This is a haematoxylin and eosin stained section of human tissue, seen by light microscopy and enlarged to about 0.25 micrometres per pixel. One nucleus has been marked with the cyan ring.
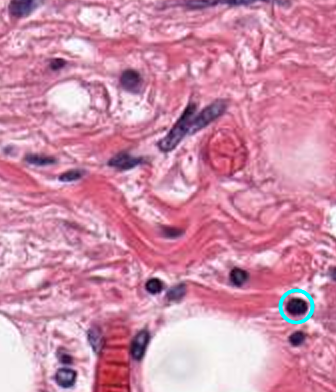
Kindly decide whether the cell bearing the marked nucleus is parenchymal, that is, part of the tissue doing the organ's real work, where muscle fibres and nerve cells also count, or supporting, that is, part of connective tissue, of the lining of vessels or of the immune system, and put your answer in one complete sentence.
The marked nucleus is held by a supporting cell.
